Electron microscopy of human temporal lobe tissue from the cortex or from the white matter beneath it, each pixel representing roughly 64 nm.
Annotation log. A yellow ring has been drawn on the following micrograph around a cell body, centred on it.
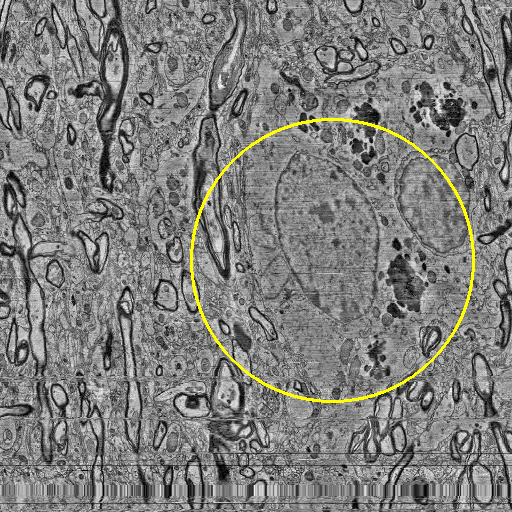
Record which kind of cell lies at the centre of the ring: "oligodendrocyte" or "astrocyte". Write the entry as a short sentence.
The cell the ring is centred on is an astrocyte.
